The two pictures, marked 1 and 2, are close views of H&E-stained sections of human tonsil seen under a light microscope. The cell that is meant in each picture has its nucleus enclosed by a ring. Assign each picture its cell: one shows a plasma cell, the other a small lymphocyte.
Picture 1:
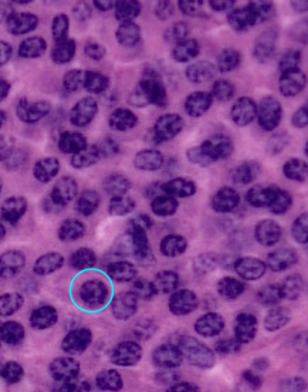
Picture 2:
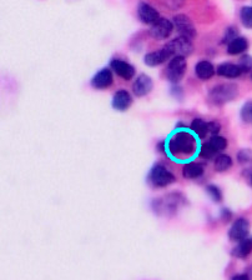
1: plasma cell
2: small lymphocyte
